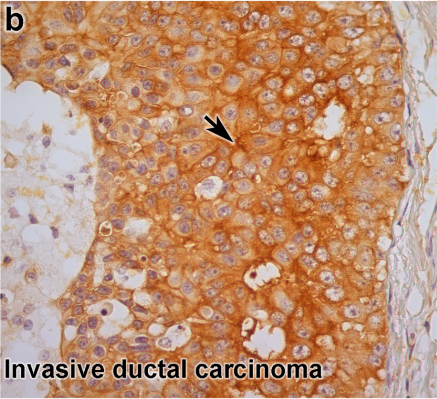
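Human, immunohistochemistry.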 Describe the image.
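The tumour cells are stained brown throughout their cytoplasm and at their borders. Their nuclei are large, round and pale with visible nucleoli, and an arrow points to a region of brown staining between cells. Scattered clear spaces and vacuoles break up the sheet of cells. The surrounding stroma is only faintly coloured.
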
